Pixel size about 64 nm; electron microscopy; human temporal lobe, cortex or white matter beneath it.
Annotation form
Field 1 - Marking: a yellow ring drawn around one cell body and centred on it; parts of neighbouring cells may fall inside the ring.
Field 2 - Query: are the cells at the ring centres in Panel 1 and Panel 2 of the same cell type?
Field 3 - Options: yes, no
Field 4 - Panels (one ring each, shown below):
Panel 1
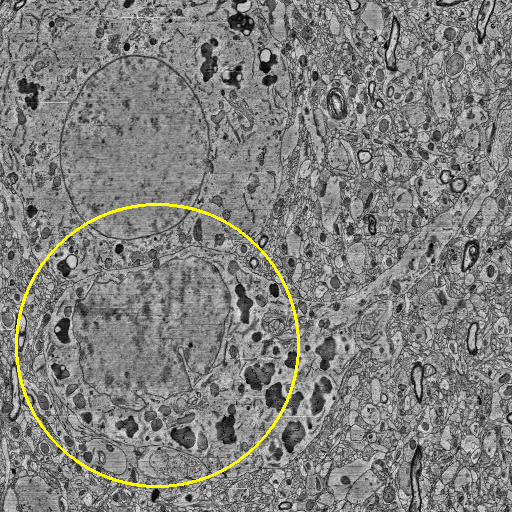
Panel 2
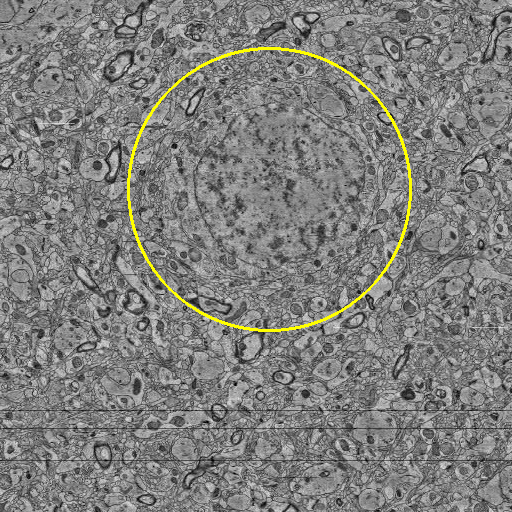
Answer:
yes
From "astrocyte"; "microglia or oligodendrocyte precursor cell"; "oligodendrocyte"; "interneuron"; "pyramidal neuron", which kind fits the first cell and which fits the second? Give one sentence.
Both the first and the second picture show an interneuron in the ring.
